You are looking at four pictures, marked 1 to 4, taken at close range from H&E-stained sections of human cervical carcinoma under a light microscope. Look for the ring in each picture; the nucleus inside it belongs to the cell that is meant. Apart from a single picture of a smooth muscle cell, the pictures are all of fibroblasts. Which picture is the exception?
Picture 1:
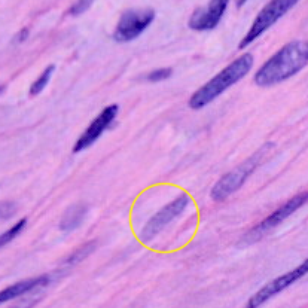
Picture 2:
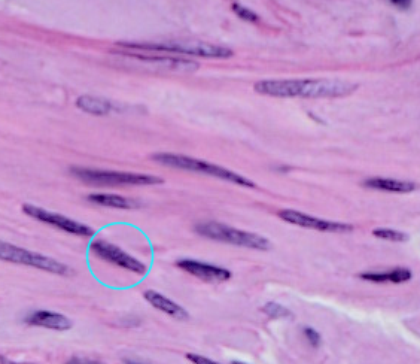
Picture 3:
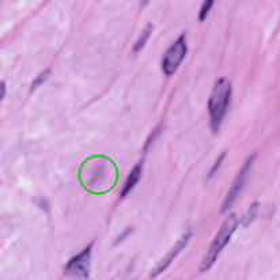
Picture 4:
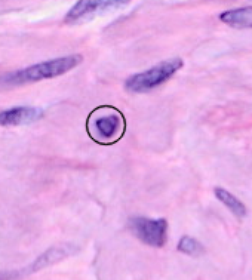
1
